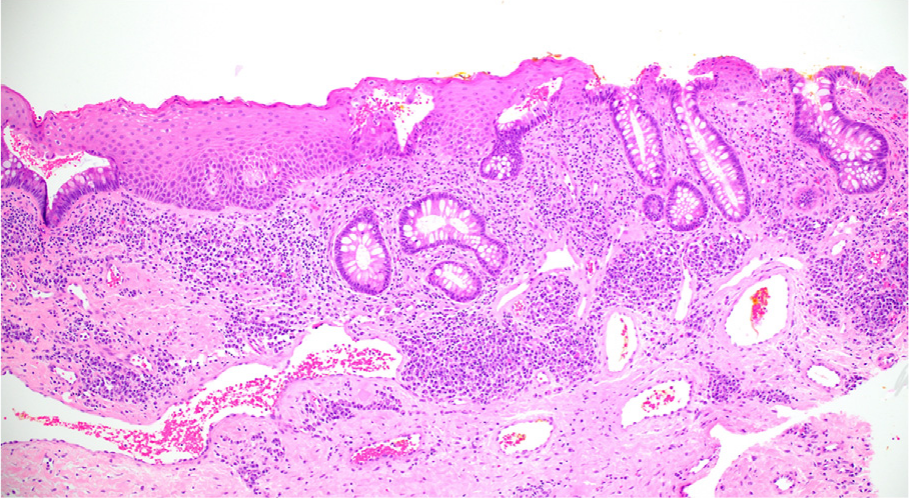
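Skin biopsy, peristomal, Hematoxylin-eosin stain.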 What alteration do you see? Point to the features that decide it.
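Glandular epithelium with goblet cells lies within skin that is also covered by stratified squamous epithelium. Glandular and squamous surface epithelium meet along the same surface. So: intestinal metaplasia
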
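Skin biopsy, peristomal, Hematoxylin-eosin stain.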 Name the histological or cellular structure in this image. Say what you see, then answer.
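Intestinal colonic crypts. Round to tubular glands lined by tall columnar epithelium. The lining holds many pale, clear mucin-filled goblet cells. Several glands open onto the surface beside squamous epithelium.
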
